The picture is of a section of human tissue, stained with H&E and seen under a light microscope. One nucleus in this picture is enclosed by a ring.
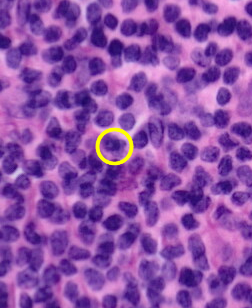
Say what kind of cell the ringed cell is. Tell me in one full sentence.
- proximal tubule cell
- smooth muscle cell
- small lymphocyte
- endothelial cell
On this particular slide, the ringed cell is a small lymphocyte.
